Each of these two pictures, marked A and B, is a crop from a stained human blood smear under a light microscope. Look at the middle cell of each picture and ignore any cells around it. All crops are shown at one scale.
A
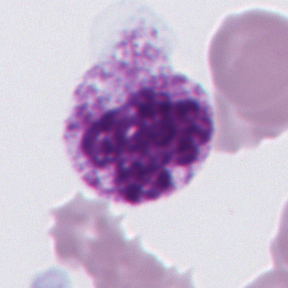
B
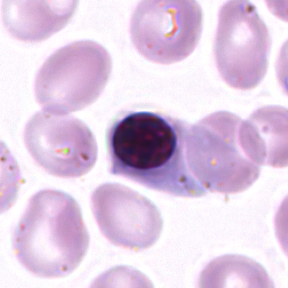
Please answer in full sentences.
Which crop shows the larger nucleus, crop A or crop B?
Larger is the nucleus in crop A, at roughly 4 times the area of the other.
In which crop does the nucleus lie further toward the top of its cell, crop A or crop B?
In crop B the nucleus is shifted more toward the top.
